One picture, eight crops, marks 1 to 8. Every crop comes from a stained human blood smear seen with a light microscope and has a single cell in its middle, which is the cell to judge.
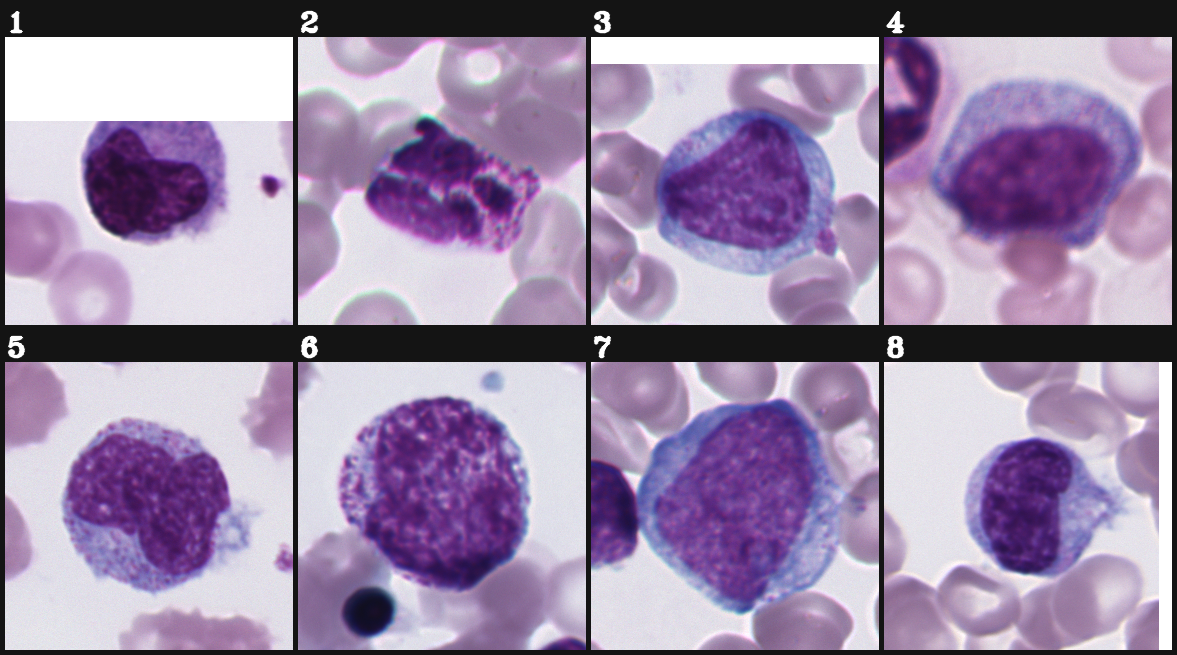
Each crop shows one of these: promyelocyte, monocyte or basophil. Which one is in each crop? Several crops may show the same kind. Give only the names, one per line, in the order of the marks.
monocyte
basophil
promyelocyte
promyelocyte
monocyte
promyelocyte
promyelocyte
monocyte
